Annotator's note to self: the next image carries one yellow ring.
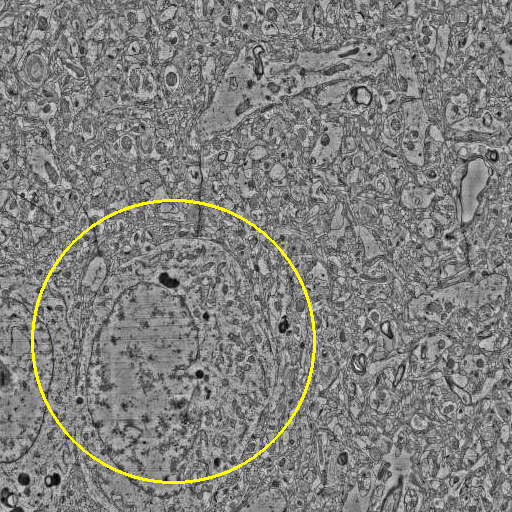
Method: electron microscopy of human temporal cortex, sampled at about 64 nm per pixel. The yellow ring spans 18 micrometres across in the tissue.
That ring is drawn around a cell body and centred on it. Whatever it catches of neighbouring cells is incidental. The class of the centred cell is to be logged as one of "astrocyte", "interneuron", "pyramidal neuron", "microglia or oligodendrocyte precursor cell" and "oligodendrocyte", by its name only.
interneuron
